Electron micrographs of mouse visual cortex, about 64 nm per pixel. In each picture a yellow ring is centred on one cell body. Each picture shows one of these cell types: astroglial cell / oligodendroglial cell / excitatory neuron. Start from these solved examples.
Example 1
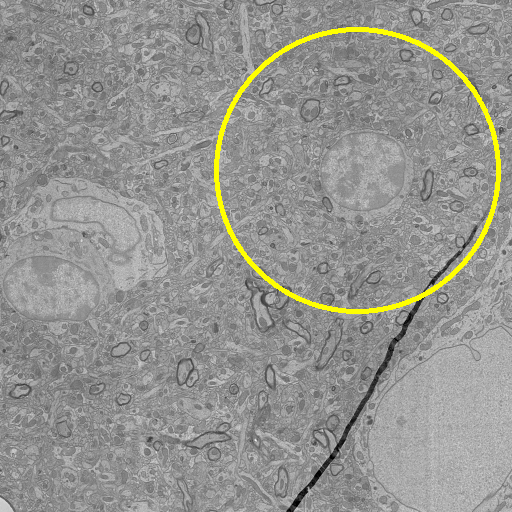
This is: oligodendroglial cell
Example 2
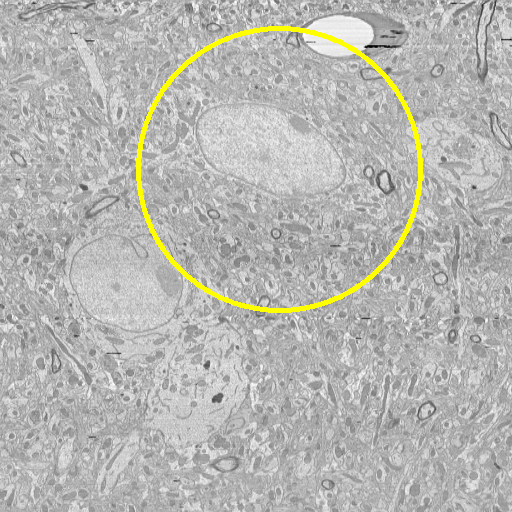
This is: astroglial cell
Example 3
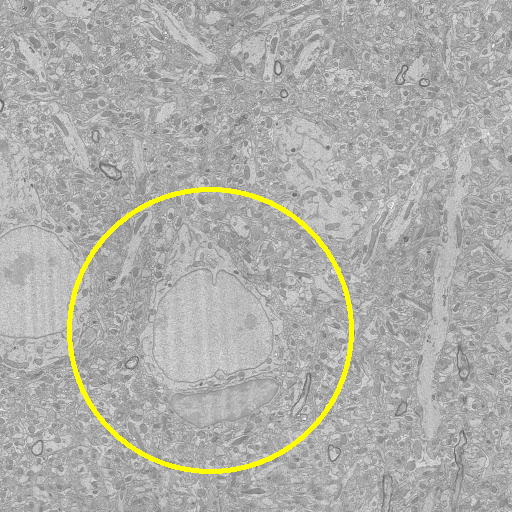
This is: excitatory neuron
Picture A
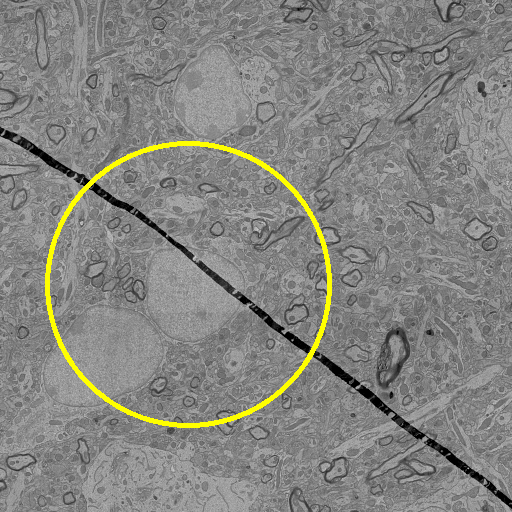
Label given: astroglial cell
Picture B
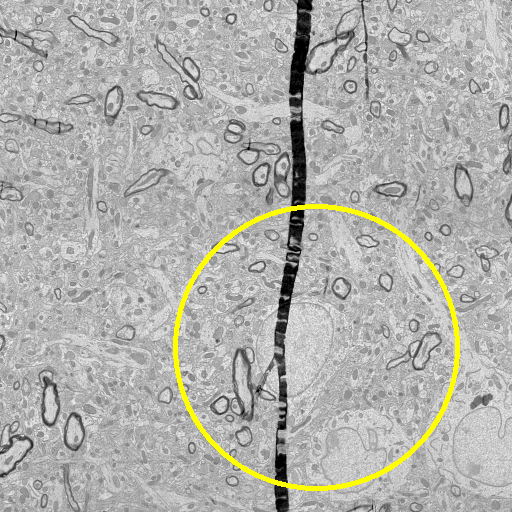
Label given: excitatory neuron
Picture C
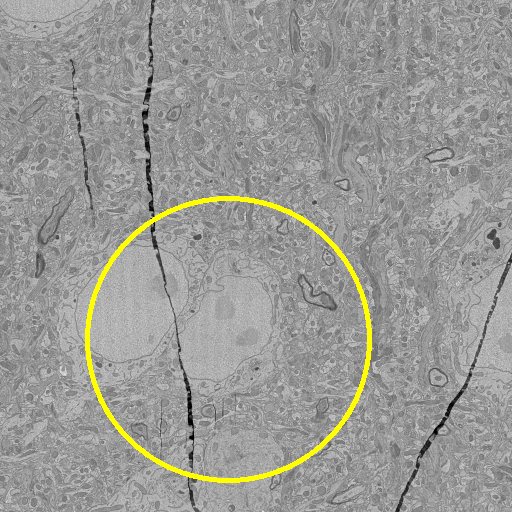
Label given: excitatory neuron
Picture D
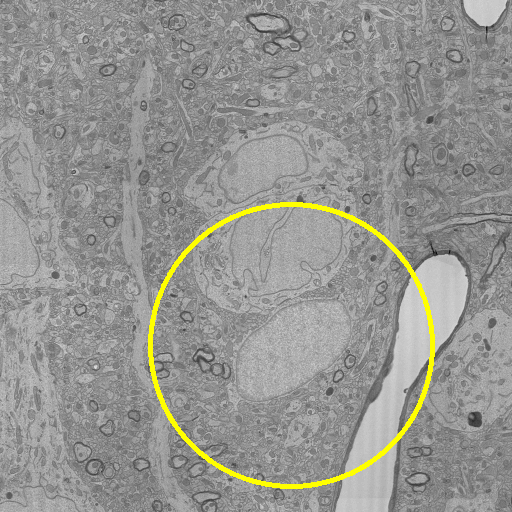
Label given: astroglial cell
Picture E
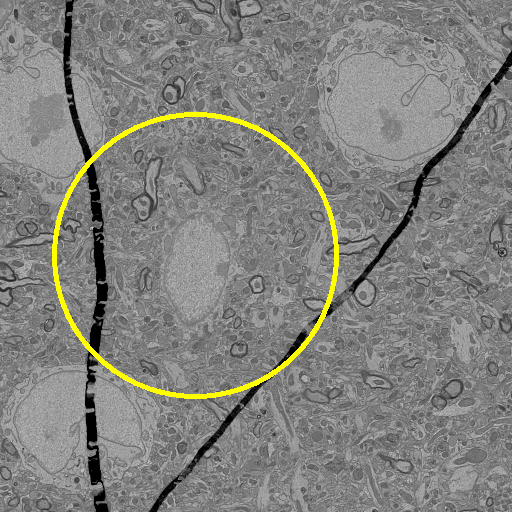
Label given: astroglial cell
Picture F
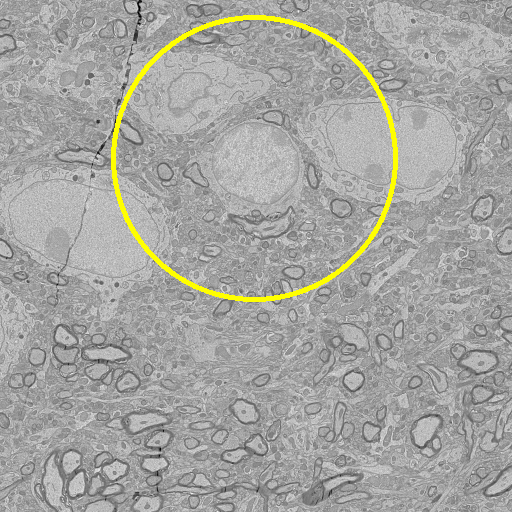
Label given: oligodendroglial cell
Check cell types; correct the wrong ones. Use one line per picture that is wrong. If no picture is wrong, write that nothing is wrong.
Wrong: B (excitatory neuron); correct: astroglial cell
